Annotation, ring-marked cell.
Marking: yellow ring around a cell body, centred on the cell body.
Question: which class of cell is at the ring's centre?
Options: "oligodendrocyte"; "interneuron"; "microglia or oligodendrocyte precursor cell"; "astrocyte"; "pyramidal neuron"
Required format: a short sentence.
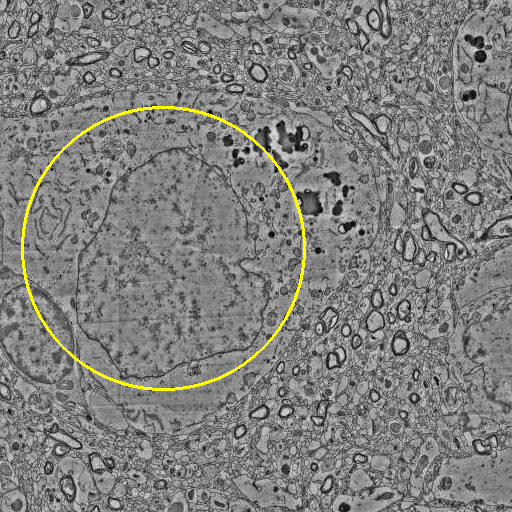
At the ring's centre is a pyramidal neuron.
